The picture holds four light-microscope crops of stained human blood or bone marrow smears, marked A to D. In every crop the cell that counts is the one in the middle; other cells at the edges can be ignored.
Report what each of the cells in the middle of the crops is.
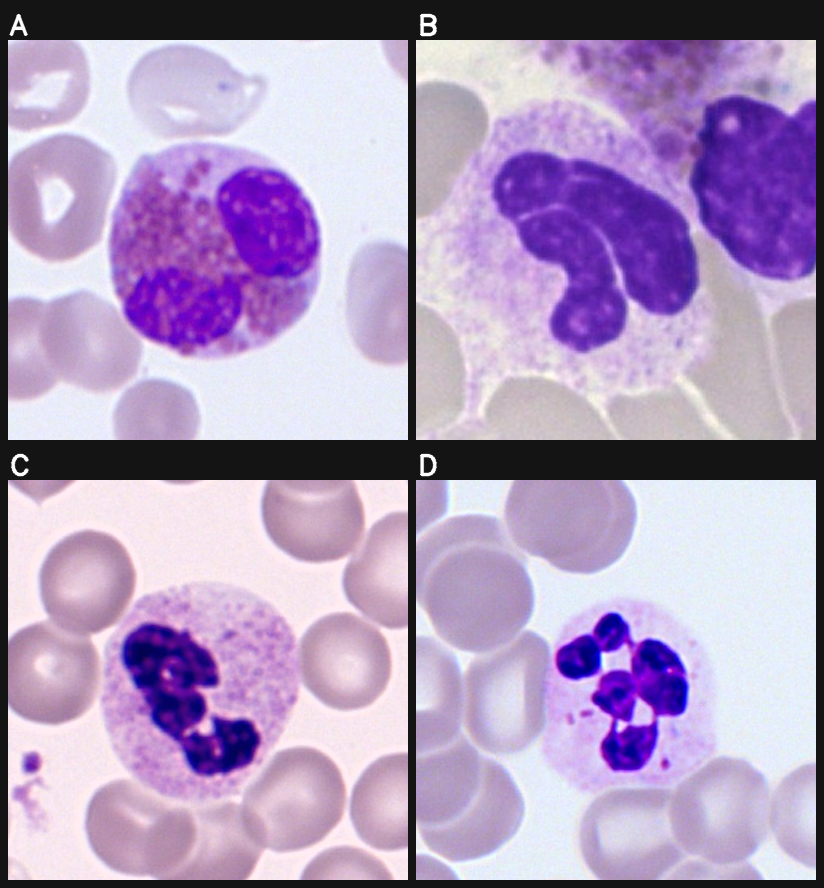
A: eosinophil
B: segmented neutrophil
C: segmented neutrophil
D: segmented neutrophil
